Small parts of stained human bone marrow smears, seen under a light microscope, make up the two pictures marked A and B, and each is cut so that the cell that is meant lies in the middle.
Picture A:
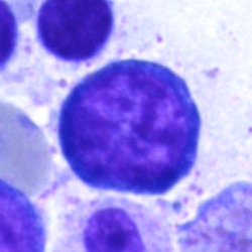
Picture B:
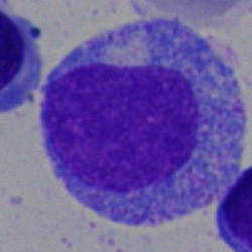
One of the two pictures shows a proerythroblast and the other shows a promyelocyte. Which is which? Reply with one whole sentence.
It is picture A that shows a proerythroblast, and picture B that shows a promyelocyte.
